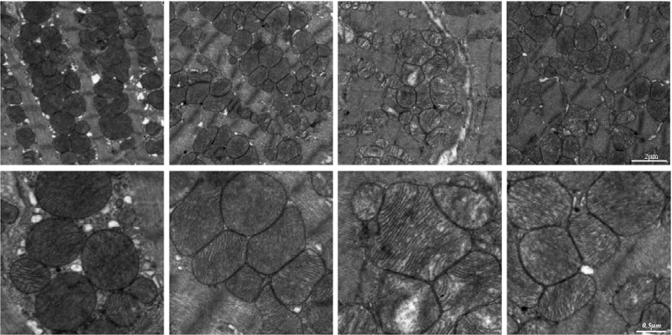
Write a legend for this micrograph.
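These are electron micrographs of heart muscle, and the dense, rounded bodies packed between the fibres are mitochondria. In the upper, lower-power row they lie in rows alongside the contractile fibres, which run as paler bands with faint regular cross-striations. In the lower, higher-power row single mitochondria fill much of the field, each bounded by a thin dark membrane. Inside most of them the fine, closely stacked folds of the inner membrane show as parallel dark lines. In some fields these inner folds look sparse or washed out, so that the interior of the mitochondrion appears paler and emptier than in its neighbours.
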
